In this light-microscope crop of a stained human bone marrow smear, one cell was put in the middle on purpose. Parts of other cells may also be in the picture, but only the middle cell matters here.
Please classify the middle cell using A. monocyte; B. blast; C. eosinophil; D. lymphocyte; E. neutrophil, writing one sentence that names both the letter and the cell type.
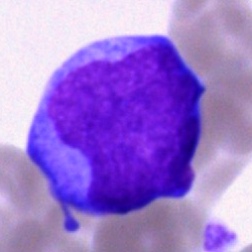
The cell at the centre is a blast, and option B accordingly is correct.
